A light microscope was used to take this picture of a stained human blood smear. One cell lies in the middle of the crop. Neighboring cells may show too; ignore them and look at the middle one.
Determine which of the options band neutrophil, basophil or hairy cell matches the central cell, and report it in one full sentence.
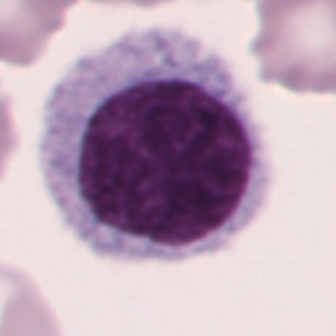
For this crop, the central cell is a hairy cell.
